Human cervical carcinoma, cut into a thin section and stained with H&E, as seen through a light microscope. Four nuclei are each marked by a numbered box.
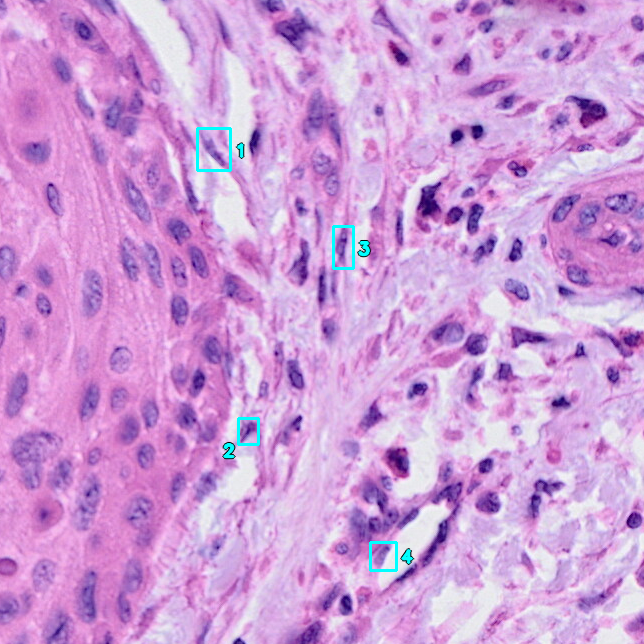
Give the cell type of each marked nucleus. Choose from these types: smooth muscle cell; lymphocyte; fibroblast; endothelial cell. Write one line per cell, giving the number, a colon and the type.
1: fibroblast
2: fibroblast
3: fibroblast
4: endothelial cell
